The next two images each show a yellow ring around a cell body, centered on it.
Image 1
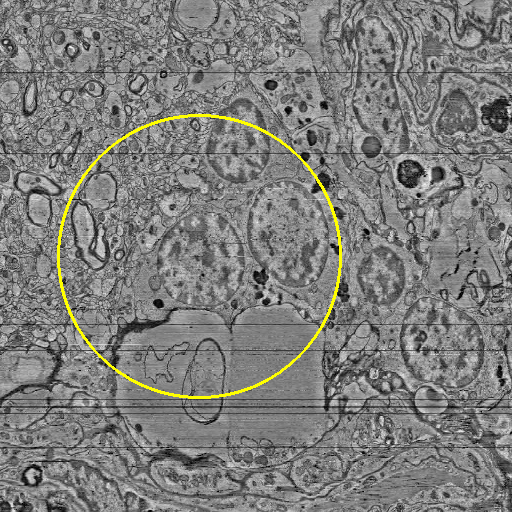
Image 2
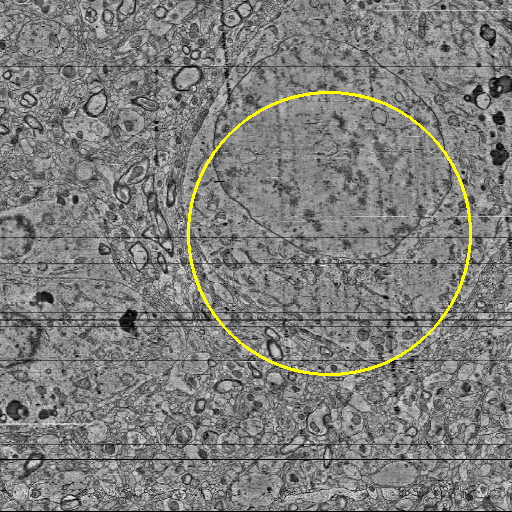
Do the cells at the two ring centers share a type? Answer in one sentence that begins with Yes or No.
No, across the two images the cells at the ring centers are of two types.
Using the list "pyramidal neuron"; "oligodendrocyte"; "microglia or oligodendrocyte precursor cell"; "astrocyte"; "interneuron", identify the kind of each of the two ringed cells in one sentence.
The first is an oligodendrocyte and the second is a pyramidal neuron.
